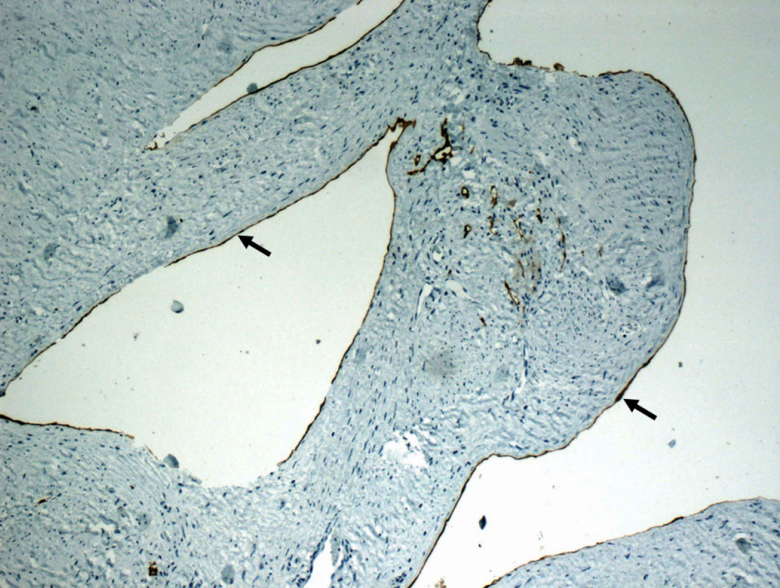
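Here the walls between several empty cyst spaces are seen, the fibrous tissue counterstained blue with scattered small nuclei. A few small brown-lined channels also lie within the wall.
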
